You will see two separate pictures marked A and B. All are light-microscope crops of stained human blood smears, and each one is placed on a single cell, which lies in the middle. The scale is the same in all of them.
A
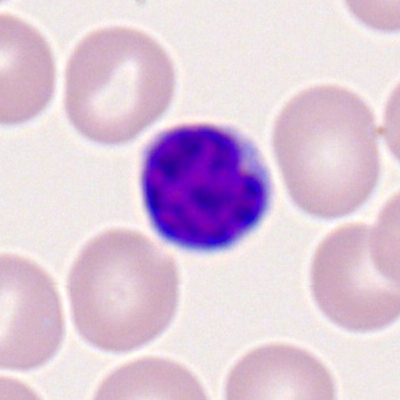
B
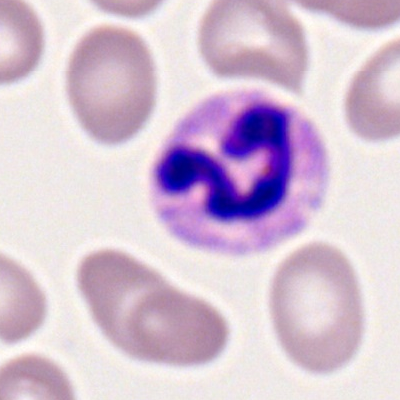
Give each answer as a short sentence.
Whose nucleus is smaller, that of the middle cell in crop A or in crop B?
The nucleus in crop B is smaller; the one in crop A has about 1.5 times its area.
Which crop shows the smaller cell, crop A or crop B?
Crop A holds the smaller cell, since the cell in crop B covers about 1.5 times as much area.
